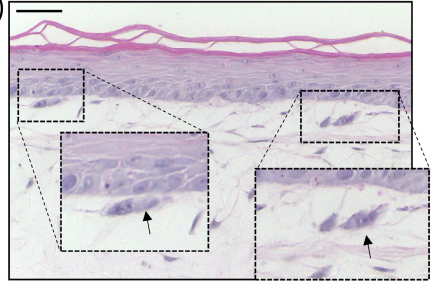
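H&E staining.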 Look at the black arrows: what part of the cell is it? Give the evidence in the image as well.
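Perikarya. The arrows point to purple-stained cell bodies just below the epidermis. These bodies are larger and plumper than the spindle cells of the loose tissue below.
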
